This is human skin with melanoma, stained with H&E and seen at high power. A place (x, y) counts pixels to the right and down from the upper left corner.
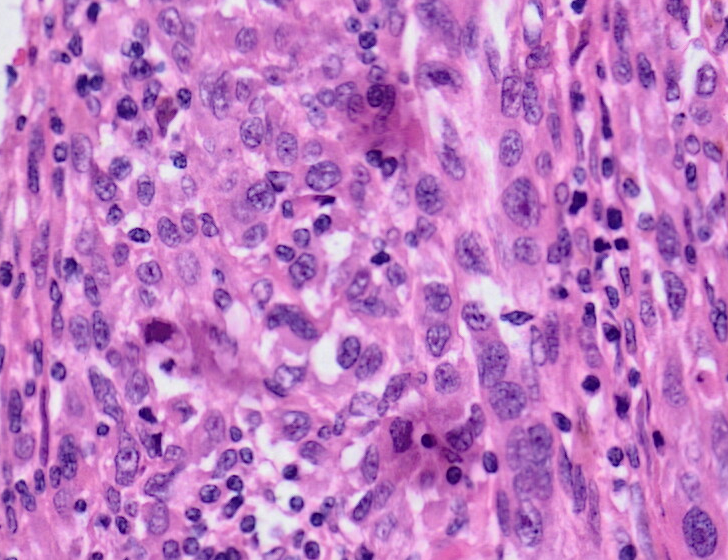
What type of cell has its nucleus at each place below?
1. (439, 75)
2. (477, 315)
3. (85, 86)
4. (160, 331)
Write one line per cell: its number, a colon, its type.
1: melanoma cell
2: melanoma cell
3: lymphocyte
4: melanoma cell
